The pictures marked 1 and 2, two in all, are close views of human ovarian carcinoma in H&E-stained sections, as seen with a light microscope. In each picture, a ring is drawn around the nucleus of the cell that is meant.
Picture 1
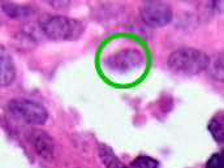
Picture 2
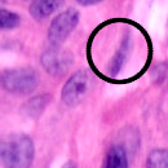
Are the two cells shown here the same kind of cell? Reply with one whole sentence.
No; the cell in picture 1 is a carcinoma cell, while the one in picture 2 is a fibroblast.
